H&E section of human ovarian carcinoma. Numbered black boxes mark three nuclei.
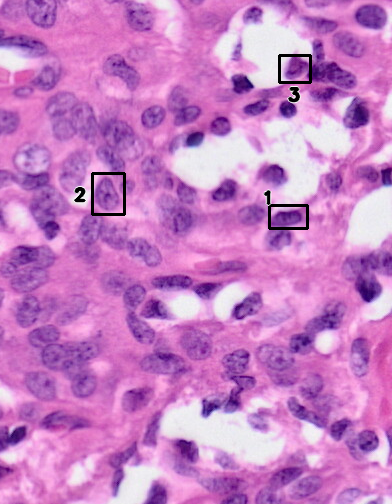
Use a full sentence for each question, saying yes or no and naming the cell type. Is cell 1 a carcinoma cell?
Yes, the cell at number 1 is a carcinoma cell.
